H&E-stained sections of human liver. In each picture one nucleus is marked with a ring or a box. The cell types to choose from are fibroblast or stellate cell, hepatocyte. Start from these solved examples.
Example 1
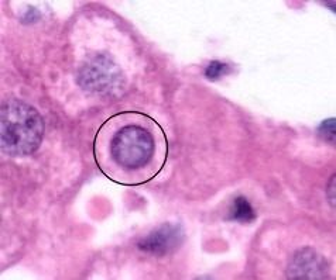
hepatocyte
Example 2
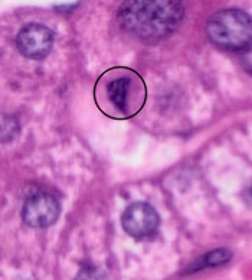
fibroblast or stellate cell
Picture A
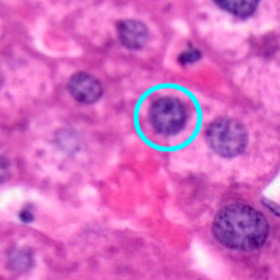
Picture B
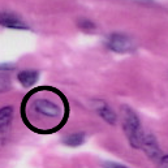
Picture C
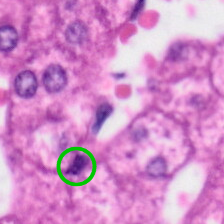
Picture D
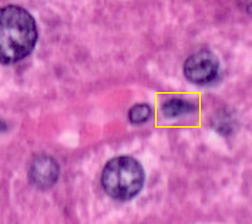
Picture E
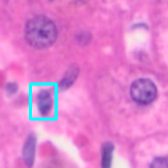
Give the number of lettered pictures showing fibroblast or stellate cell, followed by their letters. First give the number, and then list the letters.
Count: 4 (B, C, D, E)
